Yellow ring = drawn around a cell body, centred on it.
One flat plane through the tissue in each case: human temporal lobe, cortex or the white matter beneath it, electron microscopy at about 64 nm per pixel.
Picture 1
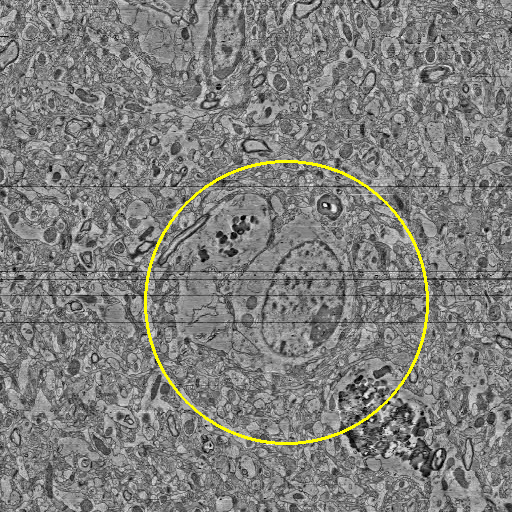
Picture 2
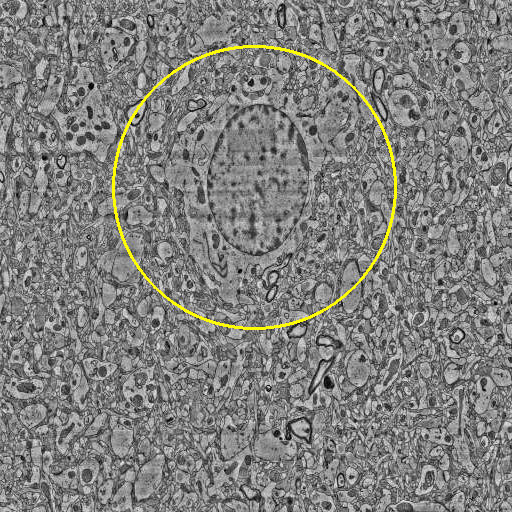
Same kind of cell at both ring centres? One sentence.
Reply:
Yes, they are the same kind of cell.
